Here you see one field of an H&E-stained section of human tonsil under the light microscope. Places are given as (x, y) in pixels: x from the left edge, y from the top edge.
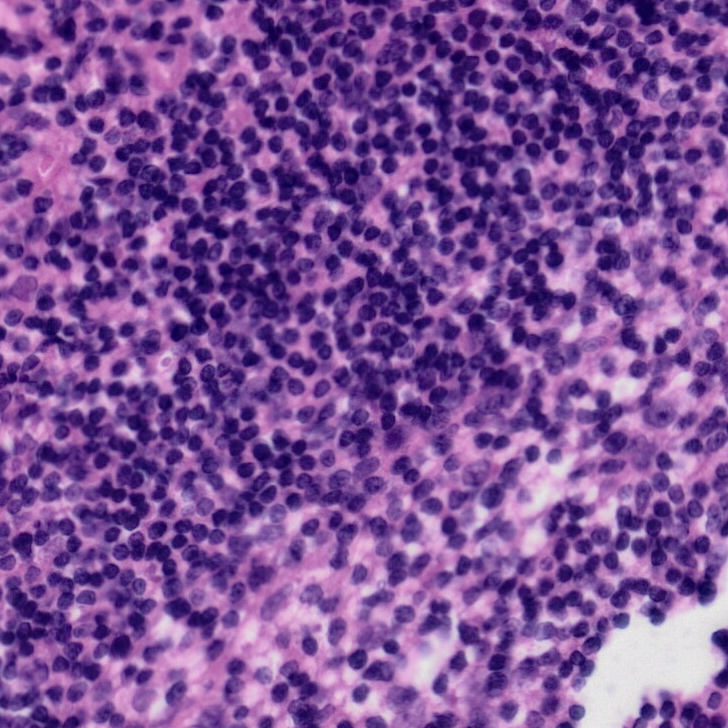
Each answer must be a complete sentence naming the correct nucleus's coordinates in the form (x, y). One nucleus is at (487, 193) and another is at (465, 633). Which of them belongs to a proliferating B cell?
The nucleus belonging to a proliferating B cell is the one at (465, 633).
